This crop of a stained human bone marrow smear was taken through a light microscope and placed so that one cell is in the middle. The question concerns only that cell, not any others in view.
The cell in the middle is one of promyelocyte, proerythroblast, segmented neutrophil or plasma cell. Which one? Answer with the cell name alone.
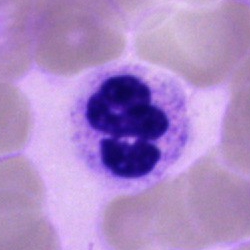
segmented neutrophil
